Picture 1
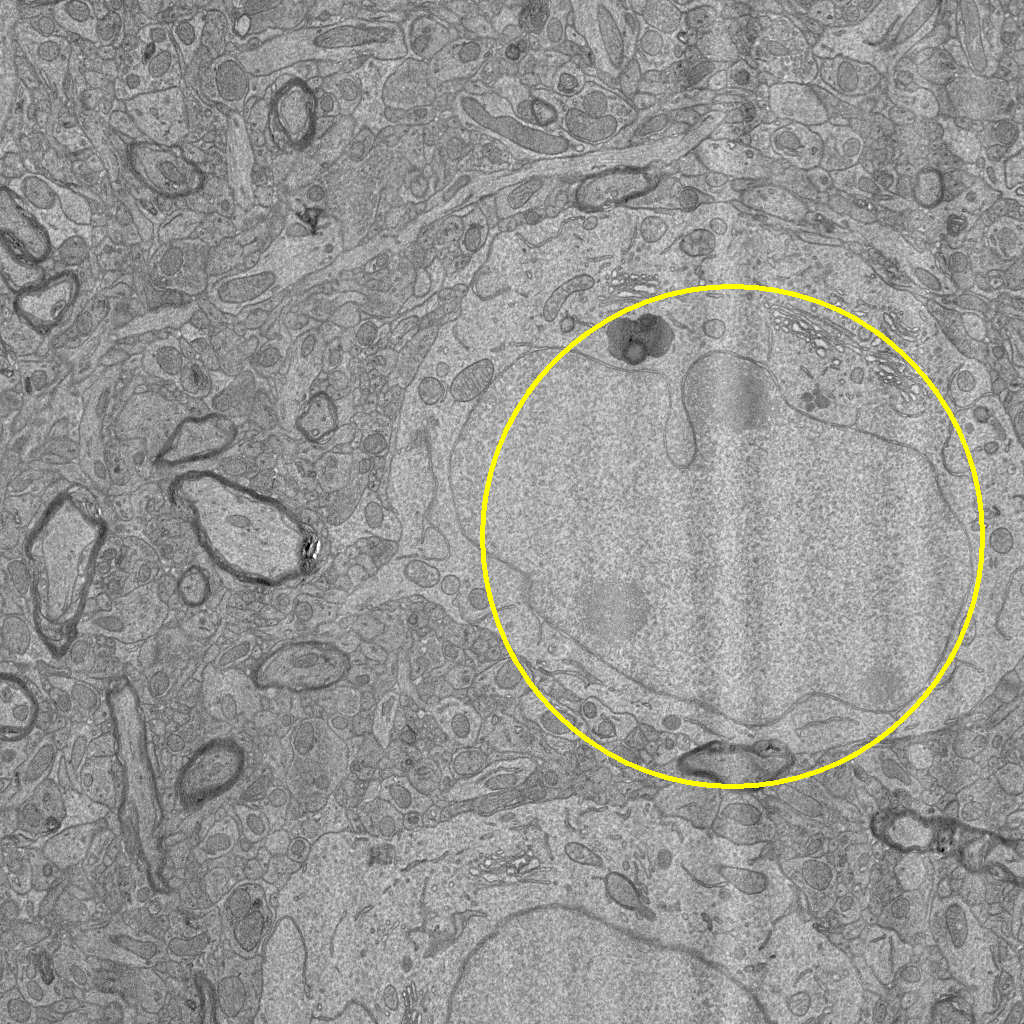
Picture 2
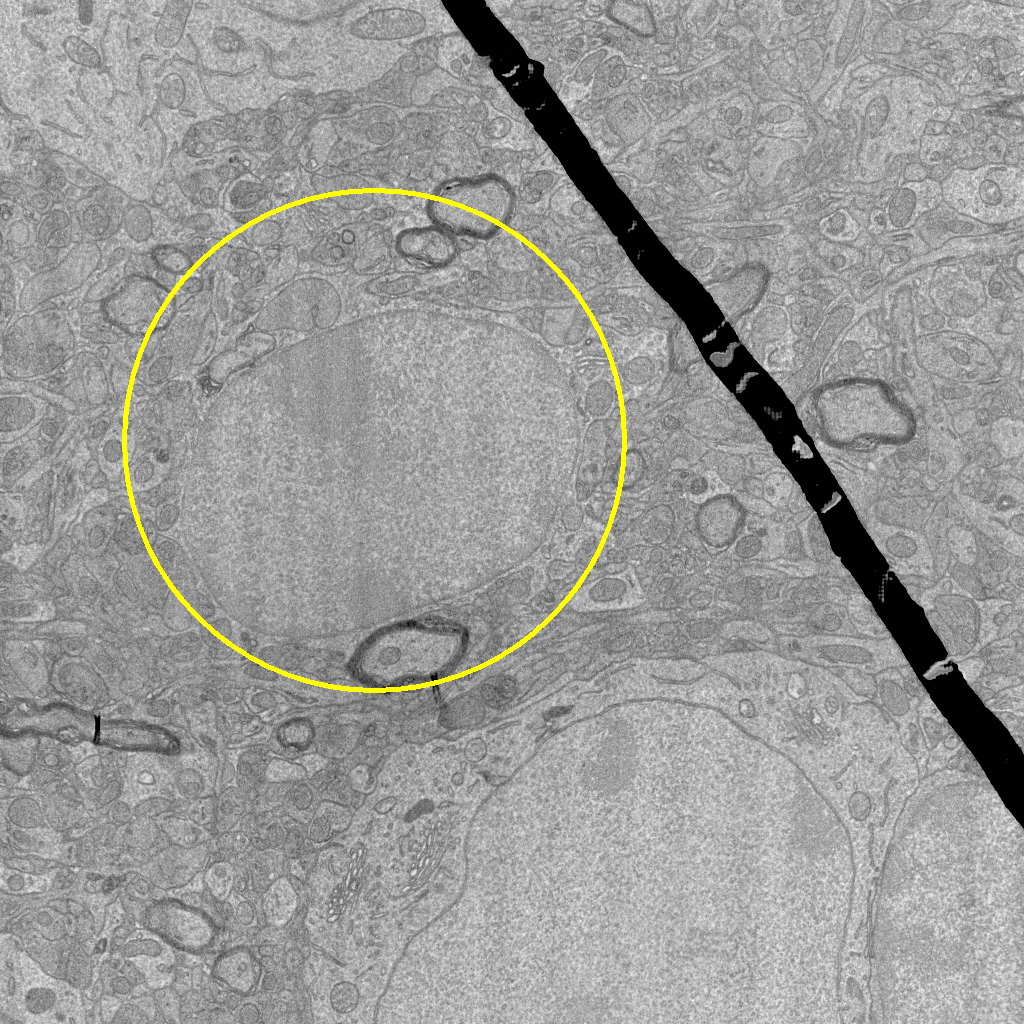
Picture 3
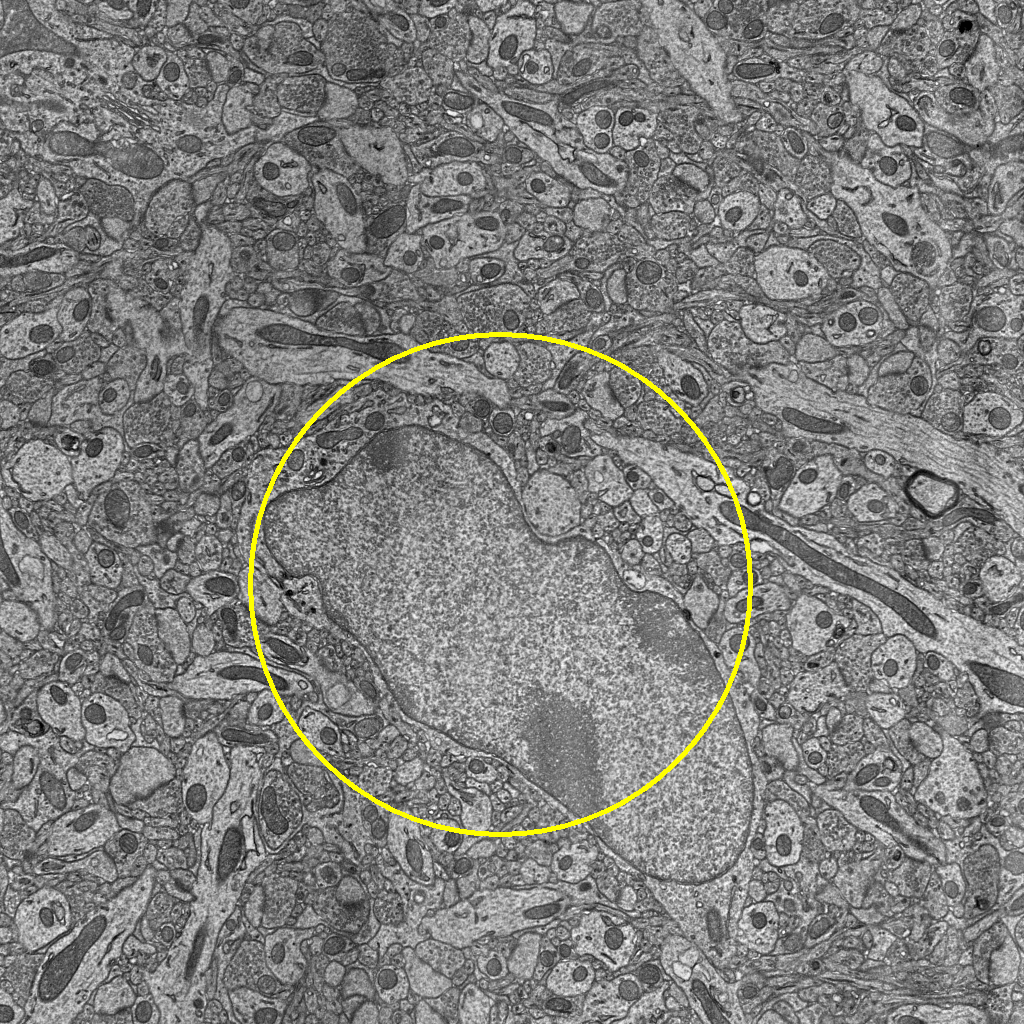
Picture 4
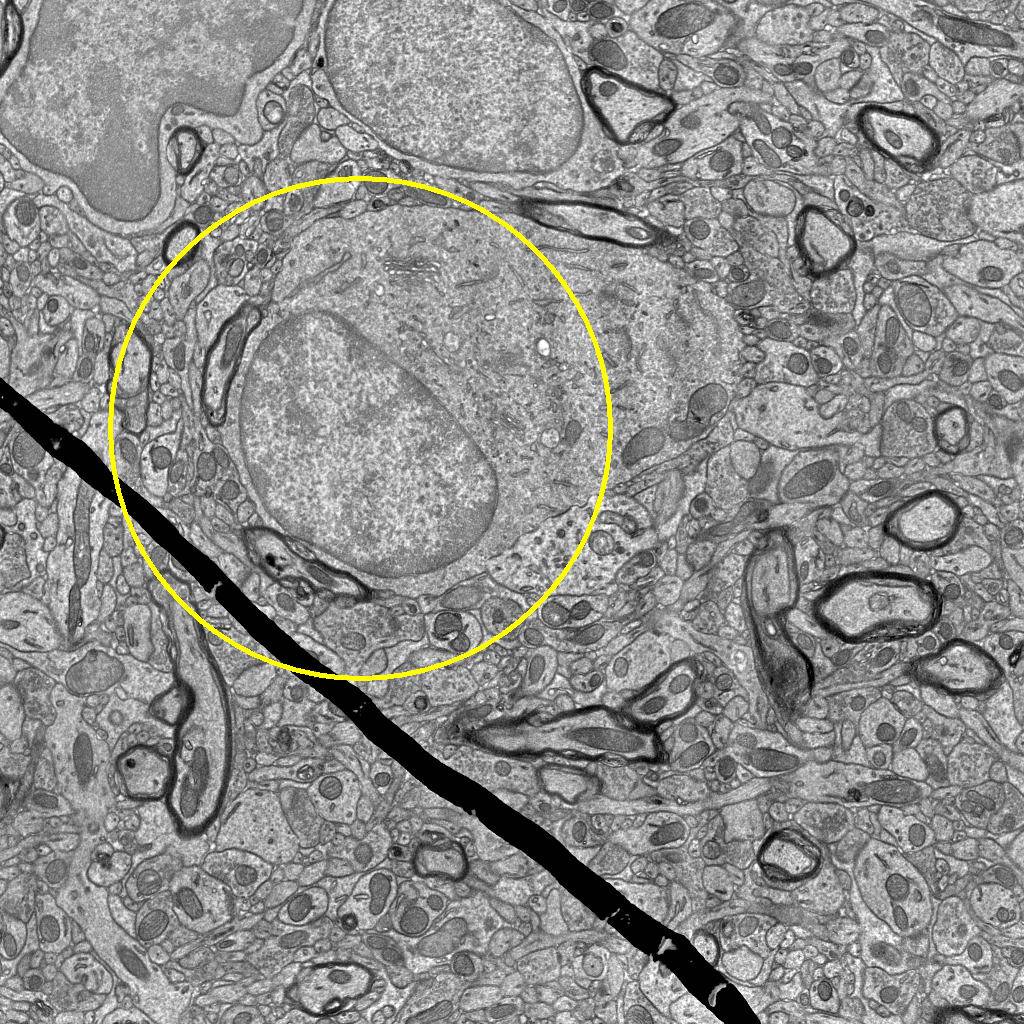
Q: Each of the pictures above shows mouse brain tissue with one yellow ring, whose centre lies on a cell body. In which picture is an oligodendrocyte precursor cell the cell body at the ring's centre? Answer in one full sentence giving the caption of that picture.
Picture 3 is the one whose ring's centre lies on the cell in question.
